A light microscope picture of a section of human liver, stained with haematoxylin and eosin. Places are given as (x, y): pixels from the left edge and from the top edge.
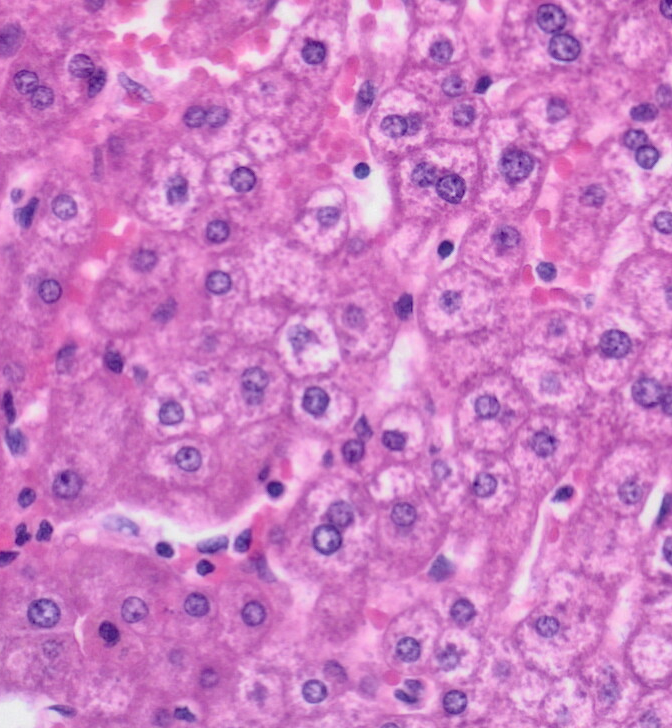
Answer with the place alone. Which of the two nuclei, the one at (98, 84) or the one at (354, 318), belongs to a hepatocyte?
(354, 318)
